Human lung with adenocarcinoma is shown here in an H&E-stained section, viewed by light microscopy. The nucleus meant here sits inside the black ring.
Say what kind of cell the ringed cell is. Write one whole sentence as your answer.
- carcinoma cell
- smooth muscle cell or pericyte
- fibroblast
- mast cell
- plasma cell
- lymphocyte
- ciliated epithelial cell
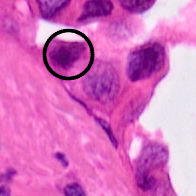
On this particular slide, the ringed cell is a carcinoma cell.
